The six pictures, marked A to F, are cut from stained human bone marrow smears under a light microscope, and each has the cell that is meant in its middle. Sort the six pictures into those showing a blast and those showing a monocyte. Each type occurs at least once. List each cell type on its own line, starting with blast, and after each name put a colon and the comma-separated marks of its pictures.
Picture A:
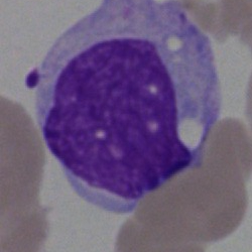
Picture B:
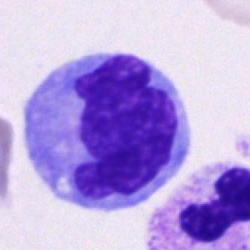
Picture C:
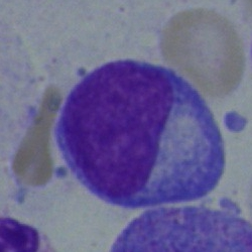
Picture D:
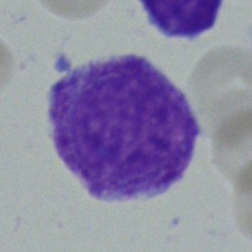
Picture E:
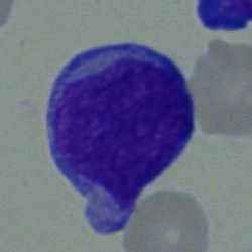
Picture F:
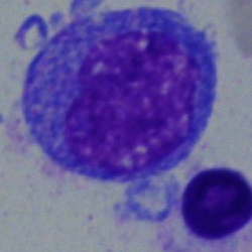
blast: C, D, E, F
monocyte: A, B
